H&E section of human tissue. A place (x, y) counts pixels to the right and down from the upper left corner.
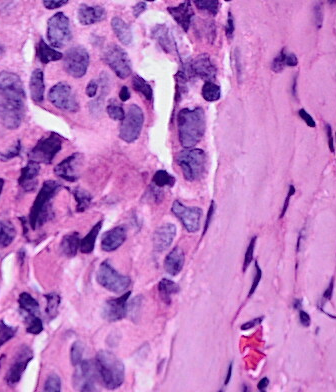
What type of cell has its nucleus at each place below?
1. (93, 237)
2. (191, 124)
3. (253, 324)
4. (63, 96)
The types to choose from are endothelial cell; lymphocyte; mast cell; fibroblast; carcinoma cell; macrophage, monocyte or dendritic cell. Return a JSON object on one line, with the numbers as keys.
{"1": "carcinoma cell", "2": "carcinoma cell", "3": "endothelial cell", "4": "carcinoma cell"}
